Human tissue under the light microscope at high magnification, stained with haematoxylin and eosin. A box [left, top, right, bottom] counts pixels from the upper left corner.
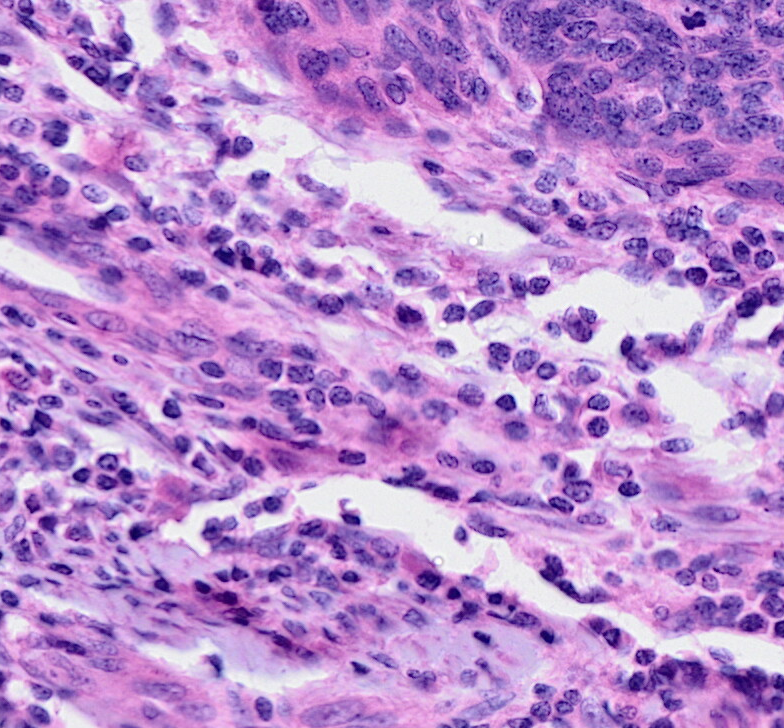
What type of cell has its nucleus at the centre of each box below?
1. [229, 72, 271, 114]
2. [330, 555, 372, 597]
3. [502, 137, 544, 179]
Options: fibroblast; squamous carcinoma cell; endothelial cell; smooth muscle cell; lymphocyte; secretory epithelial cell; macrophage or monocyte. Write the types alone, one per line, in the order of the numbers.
fibroblast
lymphocyte
lymphocyte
